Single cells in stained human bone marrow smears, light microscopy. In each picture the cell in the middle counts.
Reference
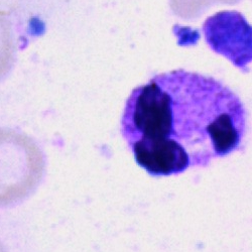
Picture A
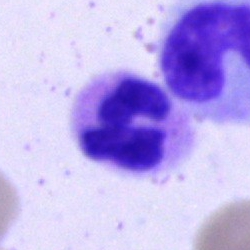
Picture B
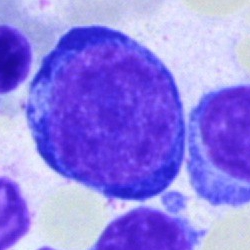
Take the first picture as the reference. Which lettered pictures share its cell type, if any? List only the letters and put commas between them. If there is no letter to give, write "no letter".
A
